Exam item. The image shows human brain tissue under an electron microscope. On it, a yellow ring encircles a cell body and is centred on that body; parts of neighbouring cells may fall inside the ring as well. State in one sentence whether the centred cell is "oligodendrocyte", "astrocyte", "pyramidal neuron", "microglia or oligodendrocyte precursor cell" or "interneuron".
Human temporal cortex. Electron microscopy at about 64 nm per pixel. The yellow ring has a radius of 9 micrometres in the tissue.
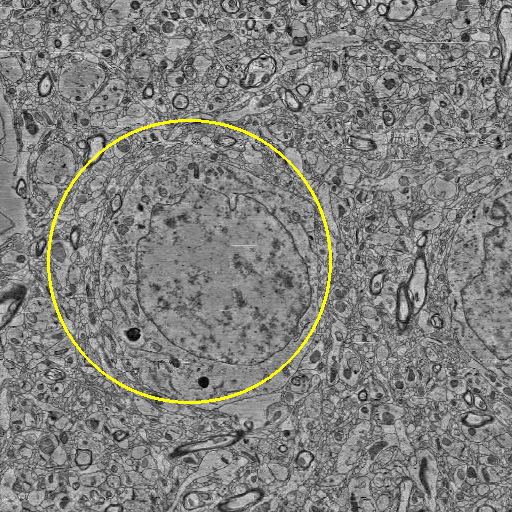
The cell body centred in the ring is a pyramidal neuron.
